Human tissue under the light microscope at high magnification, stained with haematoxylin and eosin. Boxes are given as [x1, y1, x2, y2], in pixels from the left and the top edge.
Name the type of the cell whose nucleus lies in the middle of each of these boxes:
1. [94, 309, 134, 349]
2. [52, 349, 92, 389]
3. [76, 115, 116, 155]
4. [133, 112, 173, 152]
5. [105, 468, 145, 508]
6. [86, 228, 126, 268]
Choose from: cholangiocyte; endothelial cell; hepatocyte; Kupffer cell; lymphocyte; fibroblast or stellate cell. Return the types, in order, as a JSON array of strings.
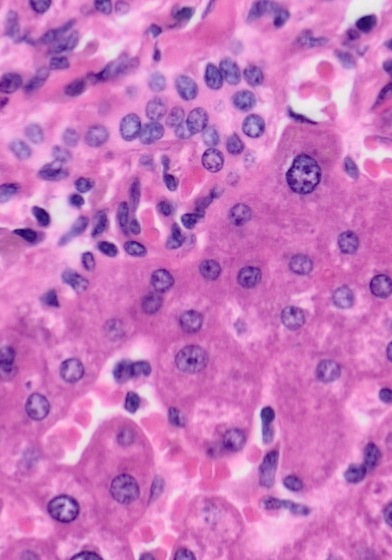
["hepatocyte", "hepatocyte", "cholangiocyte", "cholangiocyte", "hepatocyte", "lymphocyte"]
